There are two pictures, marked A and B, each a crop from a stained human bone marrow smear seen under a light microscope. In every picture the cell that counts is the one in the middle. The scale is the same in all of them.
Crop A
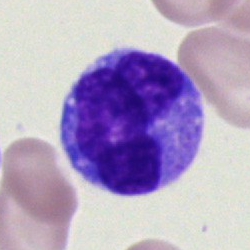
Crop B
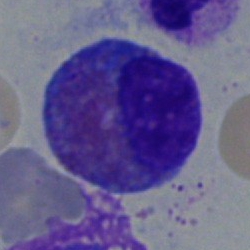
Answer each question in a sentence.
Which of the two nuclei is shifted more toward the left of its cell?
It is the nucleus in crop A that lies further toward the left of its cell.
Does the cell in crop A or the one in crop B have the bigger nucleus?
Larger is the nucleus in crop A, at roughly 1.5 times the area of the other.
